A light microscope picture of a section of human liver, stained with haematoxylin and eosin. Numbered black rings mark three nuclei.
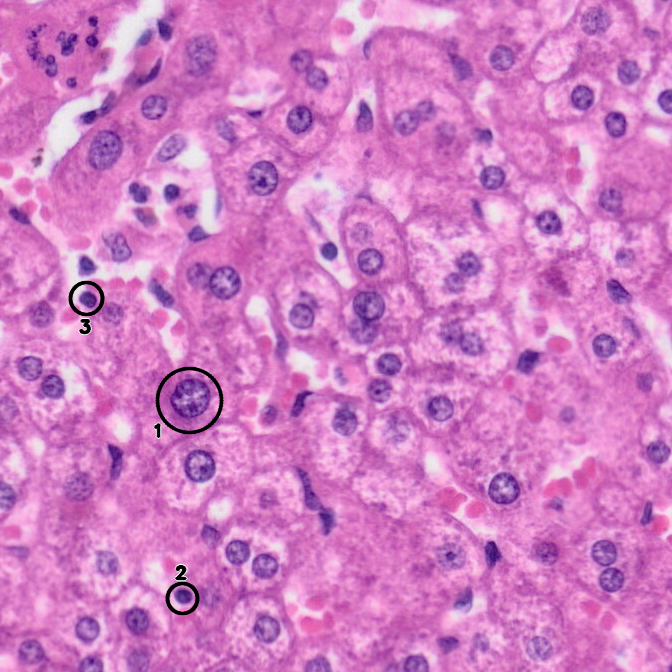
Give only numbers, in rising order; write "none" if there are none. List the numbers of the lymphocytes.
2, 3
